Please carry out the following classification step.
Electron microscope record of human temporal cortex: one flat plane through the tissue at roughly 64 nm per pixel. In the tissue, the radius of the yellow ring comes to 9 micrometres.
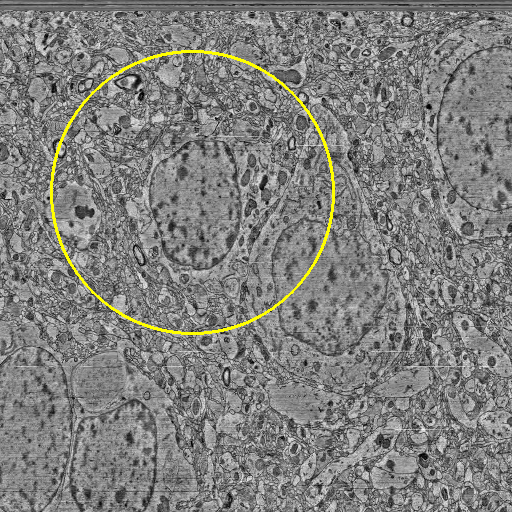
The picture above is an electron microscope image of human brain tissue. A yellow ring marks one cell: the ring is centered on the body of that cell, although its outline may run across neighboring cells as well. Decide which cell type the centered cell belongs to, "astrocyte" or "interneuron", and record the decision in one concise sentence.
The cell centered in the yellow ring is an astrocyte.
